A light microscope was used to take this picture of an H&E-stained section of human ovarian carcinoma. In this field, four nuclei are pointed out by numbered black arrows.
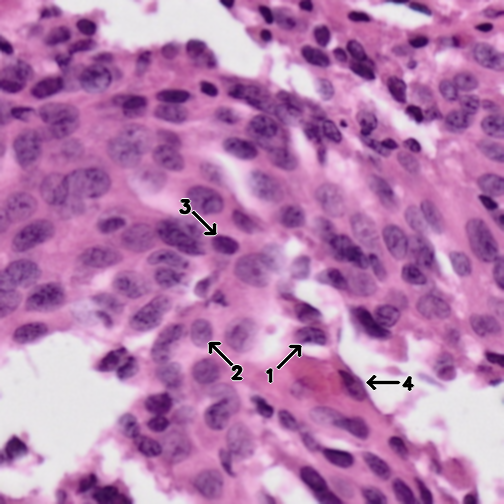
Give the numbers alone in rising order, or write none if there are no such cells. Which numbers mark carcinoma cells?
2, 3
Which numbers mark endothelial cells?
4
